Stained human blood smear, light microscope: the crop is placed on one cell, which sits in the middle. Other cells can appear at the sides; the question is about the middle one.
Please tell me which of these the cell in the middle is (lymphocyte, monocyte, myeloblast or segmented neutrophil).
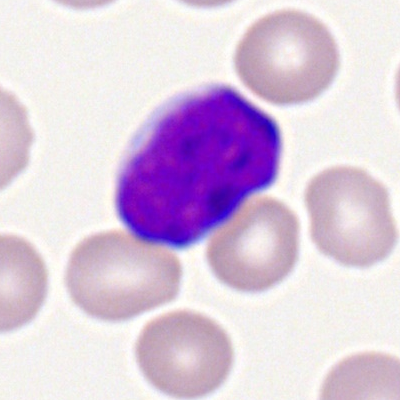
myeloblast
